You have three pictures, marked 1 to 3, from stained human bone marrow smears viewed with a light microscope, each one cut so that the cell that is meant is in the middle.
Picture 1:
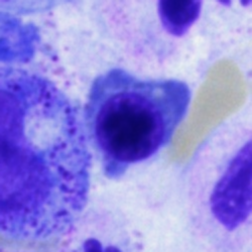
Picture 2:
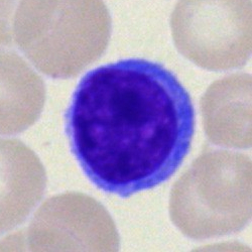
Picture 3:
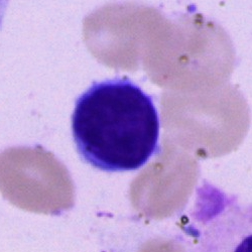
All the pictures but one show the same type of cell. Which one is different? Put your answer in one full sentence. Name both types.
Unlike the rest, which show lymphocytes, picture 1 shows an erythroblast.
